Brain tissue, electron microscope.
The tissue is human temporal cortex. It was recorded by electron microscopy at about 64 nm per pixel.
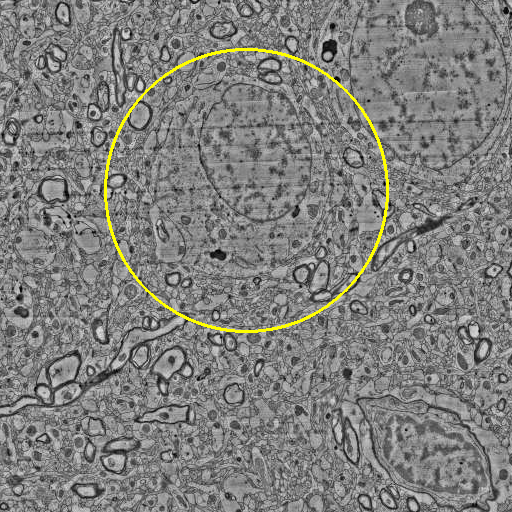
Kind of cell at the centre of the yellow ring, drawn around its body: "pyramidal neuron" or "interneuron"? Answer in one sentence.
The ring's centre falls on a pyramidal neuron.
